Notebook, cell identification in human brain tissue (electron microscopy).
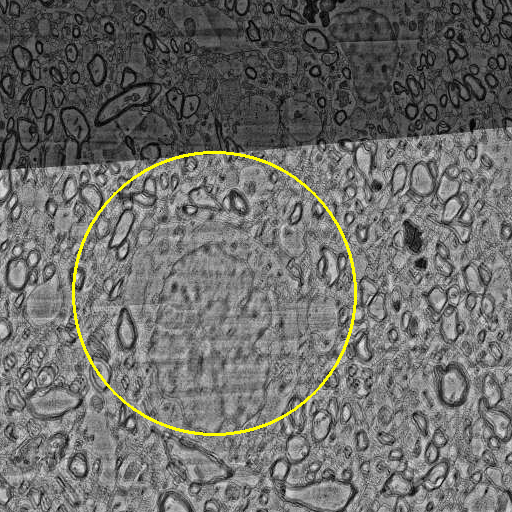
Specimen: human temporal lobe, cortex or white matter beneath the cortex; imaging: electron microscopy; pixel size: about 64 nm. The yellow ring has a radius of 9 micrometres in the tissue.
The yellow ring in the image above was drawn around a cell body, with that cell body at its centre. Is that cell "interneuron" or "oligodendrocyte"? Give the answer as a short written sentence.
The cell in the ring is an interneuron.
